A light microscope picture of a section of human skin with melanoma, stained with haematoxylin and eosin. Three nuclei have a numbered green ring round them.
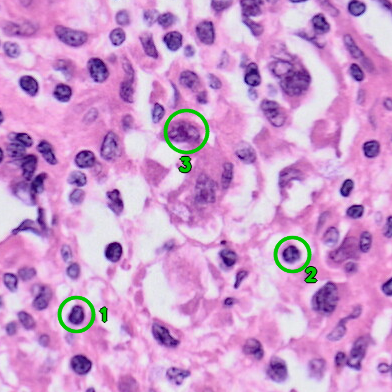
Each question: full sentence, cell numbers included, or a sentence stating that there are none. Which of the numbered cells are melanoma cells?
It is only cell 3 that is a melanoma cell among the numbered cells.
